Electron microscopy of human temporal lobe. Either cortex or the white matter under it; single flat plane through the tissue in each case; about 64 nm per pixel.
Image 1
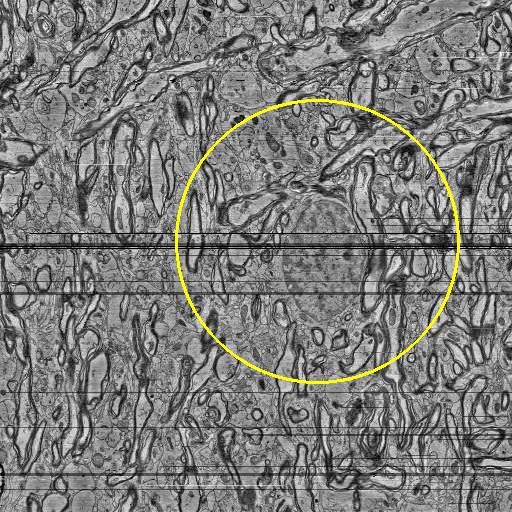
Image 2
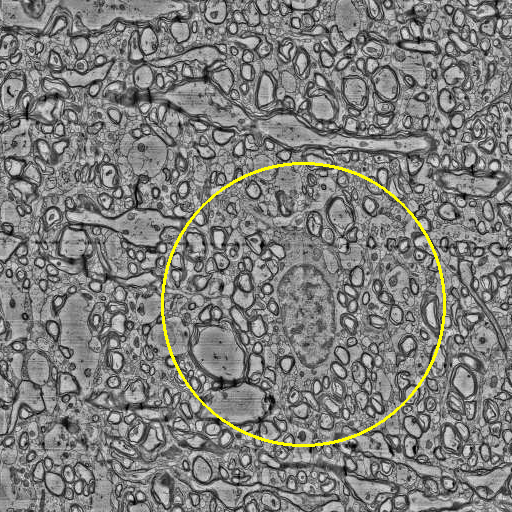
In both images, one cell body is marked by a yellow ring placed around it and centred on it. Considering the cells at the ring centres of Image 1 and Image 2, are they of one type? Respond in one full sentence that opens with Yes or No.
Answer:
Yes, a single type applies to the ring-centred cells of both Image 1 and Image 2.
